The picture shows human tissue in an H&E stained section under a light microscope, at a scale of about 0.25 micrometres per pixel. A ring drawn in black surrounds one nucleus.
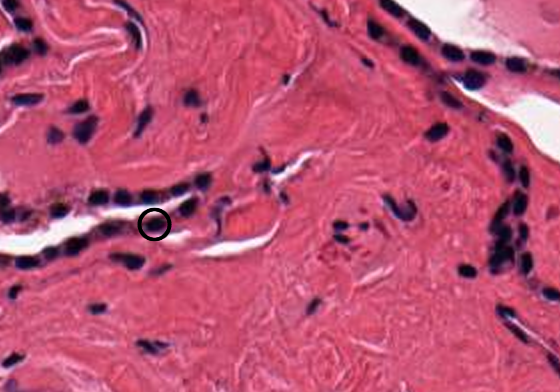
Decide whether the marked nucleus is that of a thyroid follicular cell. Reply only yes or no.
yes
